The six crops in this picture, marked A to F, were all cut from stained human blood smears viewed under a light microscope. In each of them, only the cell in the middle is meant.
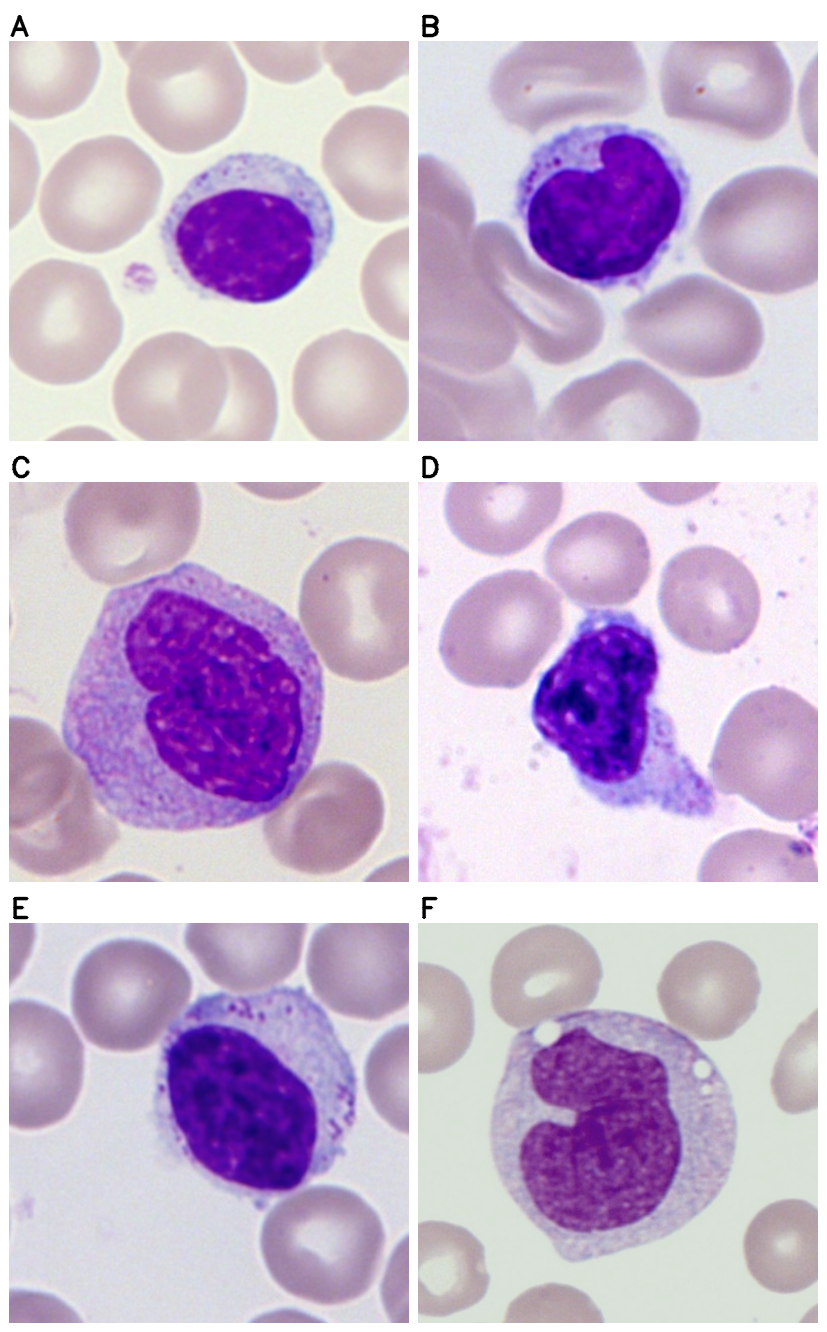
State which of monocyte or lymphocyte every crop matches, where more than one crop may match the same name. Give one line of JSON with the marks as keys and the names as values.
{"A": "lymphocyte", "B": "lymphocyte", "C": "monocyte", "D": "lymphocyte", "E": "lymphocyte", "F": "monocyte"}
